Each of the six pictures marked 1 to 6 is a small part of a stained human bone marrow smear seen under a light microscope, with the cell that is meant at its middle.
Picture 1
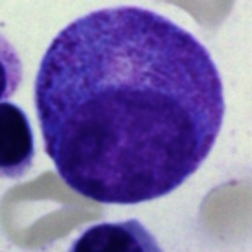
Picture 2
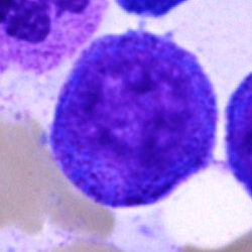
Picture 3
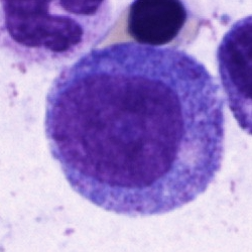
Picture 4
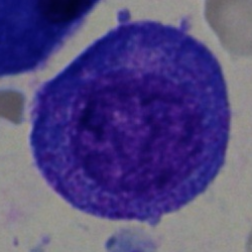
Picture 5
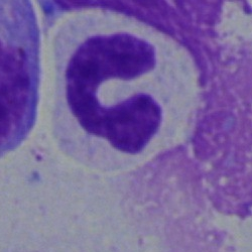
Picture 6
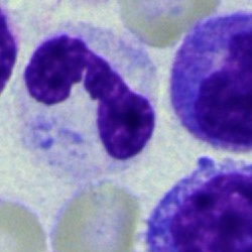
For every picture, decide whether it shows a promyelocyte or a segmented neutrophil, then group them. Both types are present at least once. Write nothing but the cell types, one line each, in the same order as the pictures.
promyelocyte
promyelocyte
promyelocyte
promyelocyte
segmented neutrophil
segmented neutrophil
